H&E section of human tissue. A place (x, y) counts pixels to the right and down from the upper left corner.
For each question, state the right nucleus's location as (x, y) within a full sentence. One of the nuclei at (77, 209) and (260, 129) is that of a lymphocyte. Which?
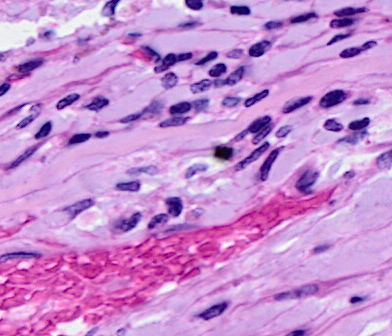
The nucleus whose cell is a lymphocyte is the one at (260, 129).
